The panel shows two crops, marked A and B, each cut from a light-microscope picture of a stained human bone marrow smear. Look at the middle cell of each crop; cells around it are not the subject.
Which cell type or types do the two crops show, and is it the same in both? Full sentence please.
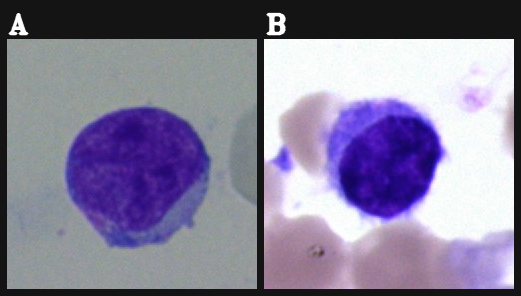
No, the central cell of crop A is a blast; that of crop B is a hairy cell.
